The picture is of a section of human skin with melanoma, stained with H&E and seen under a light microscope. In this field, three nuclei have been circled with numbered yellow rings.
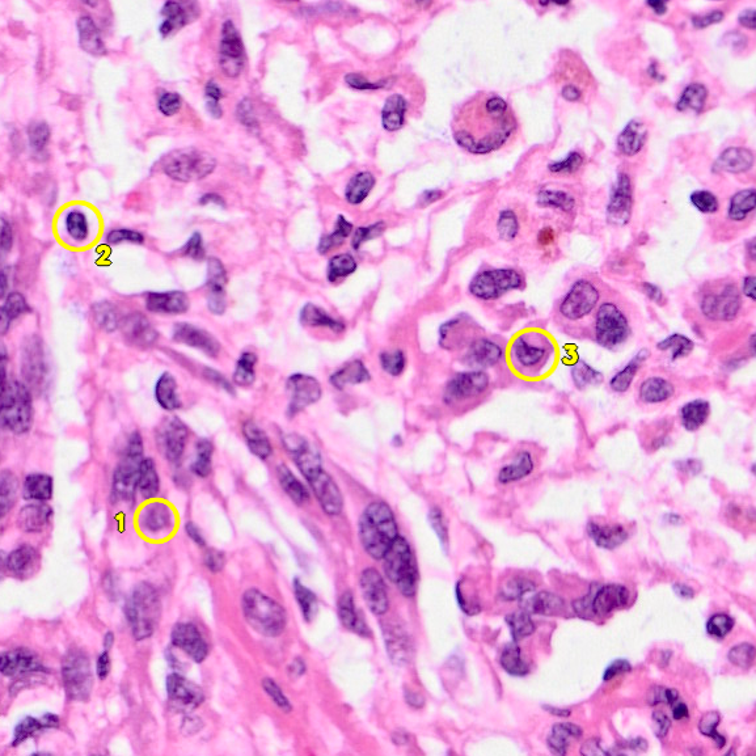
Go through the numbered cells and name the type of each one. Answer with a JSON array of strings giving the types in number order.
["melanoma cell", "lymphocyte", "melanoma cell"]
